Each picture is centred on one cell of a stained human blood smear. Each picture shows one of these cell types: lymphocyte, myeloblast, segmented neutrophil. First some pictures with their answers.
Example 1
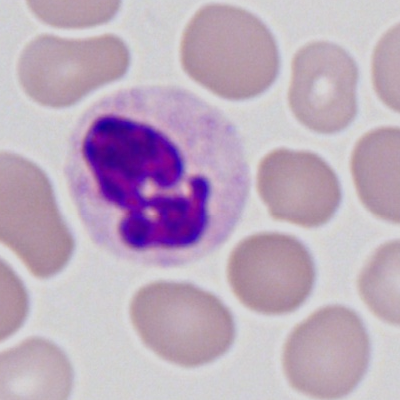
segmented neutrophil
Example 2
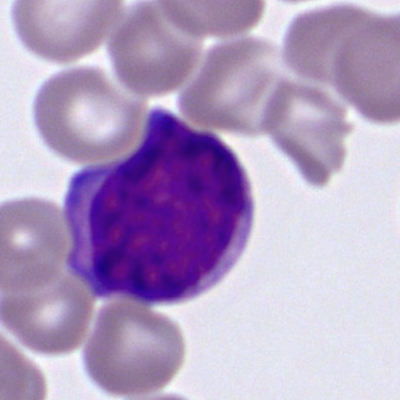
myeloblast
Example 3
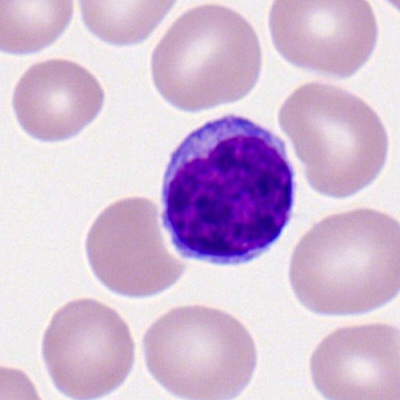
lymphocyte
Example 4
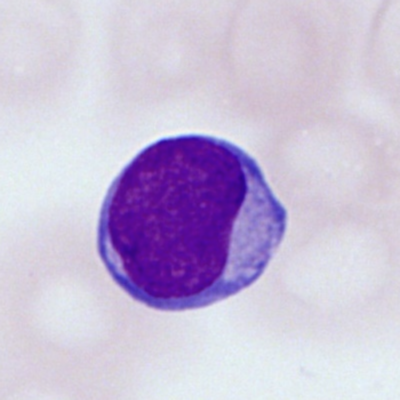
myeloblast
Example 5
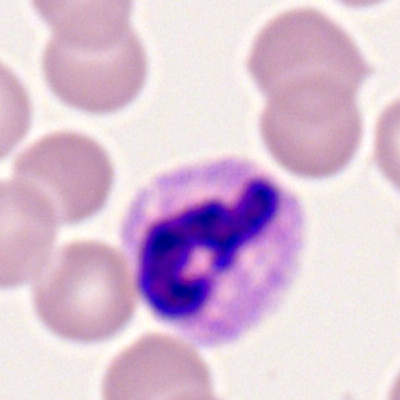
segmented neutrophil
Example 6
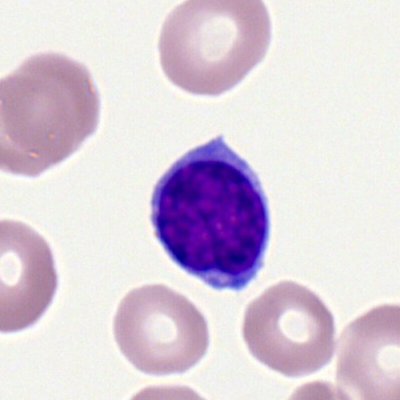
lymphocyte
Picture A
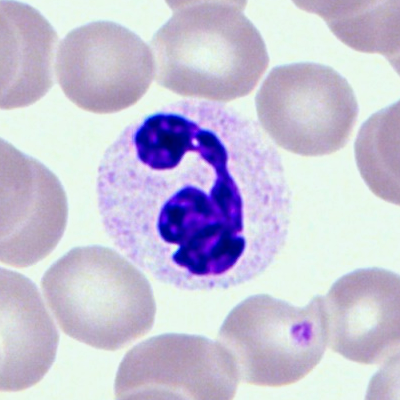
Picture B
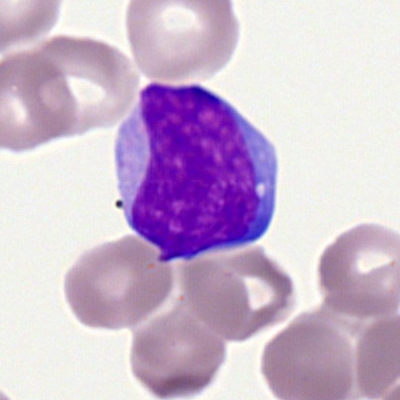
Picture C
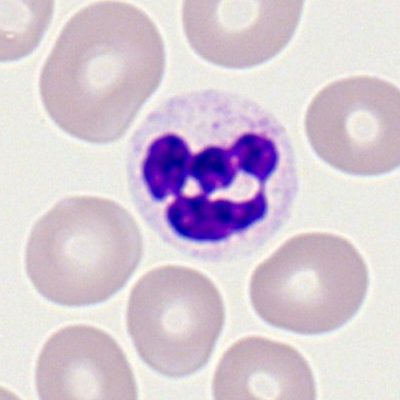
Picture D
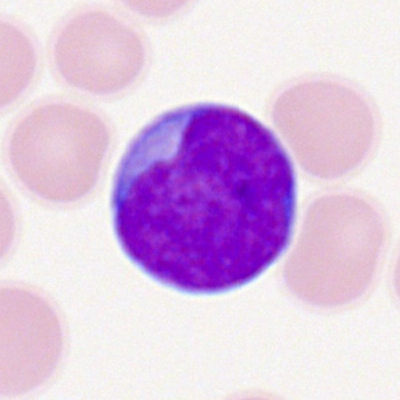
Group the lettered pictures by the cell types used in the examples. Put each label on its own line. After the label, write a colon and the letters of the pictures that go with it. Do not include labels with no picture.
myeloblast: B, D
segmented neutrophil: A, C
